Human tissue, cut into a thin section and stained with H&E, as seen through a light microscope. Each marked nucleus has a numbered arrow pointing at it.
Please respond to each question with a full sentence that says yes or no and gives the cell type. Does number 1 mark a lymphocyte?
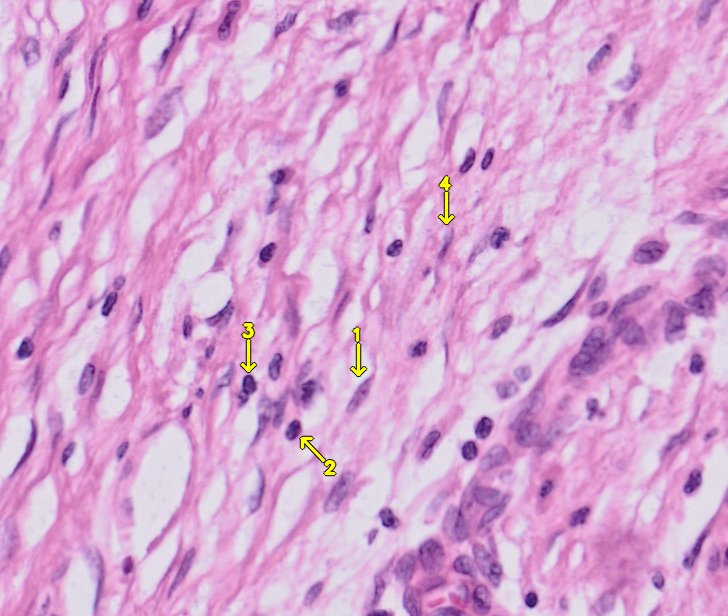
No, cell 1 is a fibroblast or myofibroblast and should not be called a lymphocyte.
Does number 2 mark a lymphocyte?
Yes, regarding cell number 2, it is a lymphocyte.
